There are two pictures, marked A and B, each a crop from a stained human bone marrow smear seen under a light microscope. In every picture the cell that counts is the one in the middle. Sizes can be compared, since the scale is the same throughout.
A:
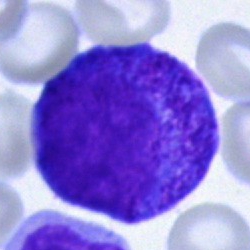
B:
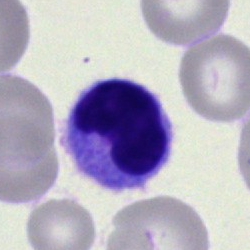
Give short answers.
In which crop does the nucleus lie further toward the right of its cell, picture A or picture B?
B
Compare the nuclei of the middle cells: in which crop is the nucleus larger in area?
A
